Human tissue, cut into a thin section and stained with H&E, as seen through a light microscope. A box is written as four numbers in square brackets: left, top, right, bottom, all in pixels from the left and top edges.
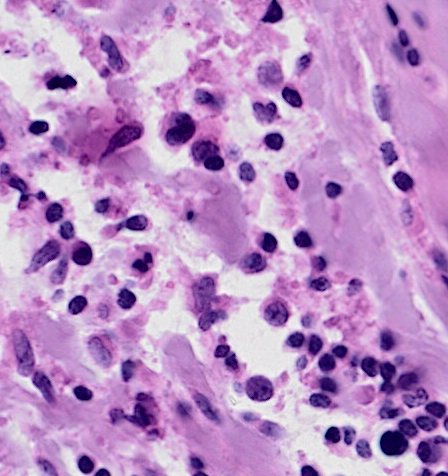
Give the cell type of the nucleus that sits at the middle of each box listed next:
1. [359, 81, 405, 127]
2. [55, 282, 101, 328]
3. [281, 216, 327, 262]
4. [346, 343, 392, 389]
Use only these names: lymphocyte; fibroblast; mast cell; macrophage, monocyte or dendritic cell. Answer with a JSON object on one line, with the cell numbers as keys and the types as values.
{"1": "fibroblast", "2": "lymphocyte", "3": "lymphocyte", "4": "lymphocyte"}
